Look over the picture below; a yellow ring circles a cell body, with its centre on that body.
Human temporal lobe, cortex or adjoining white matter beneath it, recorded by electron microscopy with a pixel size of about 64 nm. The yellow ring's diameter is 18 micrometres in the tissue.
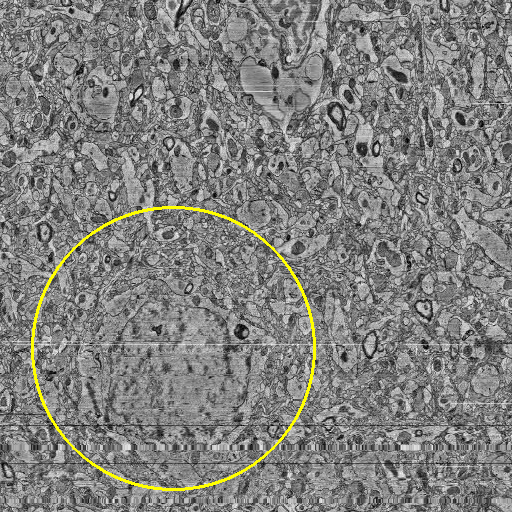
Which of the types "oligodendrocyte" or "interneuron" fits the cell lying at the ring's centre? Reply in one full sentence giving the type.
The picture shows an interneuron at the centre of the yellow ring.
